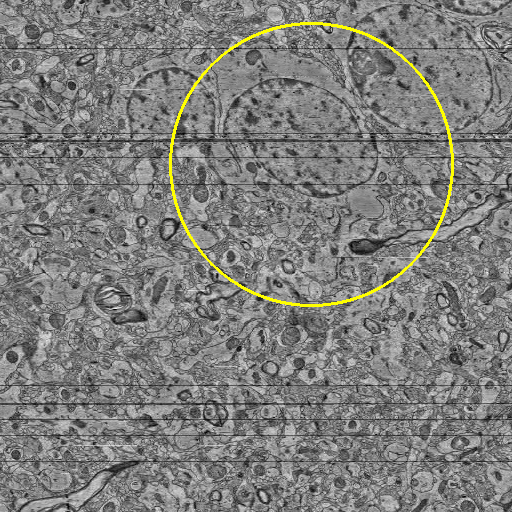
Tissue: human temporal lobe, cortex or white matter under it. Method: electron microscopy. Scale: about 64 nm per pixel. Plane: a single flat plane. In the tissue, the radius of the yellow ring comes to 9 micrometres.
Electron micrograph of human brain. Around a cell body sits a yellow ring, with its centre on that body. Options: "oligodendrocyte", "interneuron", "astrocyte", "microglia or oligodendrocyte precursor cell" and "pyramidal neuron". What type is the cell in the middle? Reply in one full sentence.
The cell sitting at the centre of the yellow ring is an astrocyte.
